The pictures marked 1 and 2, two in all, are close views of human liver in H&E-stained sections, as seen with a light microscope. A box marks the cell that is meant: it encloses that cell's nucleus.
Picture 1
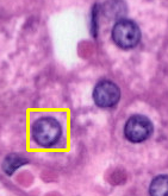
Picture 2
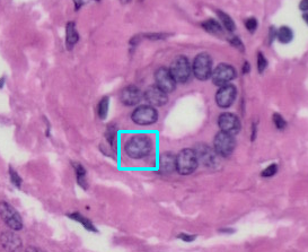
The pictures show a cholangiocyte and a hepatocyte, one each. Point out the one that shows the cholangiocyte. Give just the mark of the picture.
2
